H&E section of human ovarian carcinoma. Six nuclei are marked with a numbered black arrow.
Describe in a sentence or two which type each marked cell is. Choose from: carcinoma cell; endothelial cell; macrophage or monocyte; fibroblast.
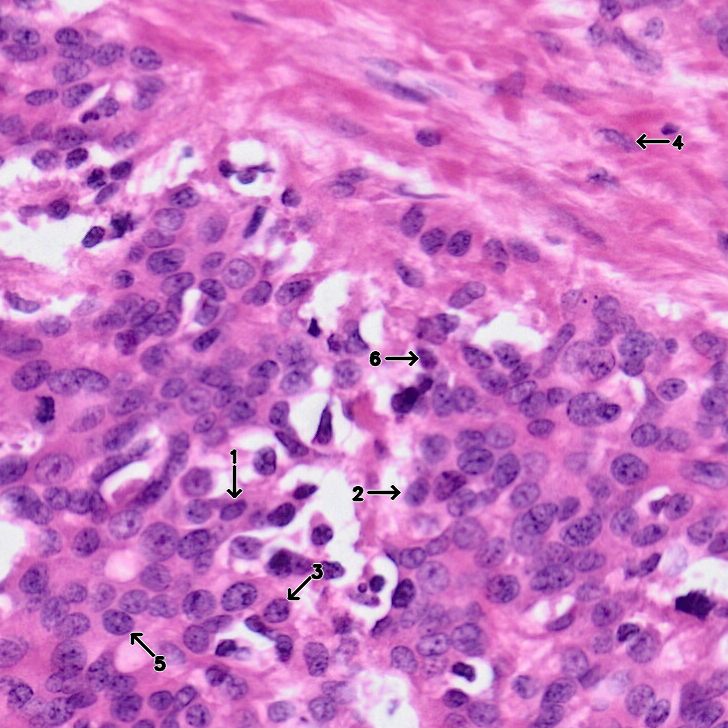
Cells 1, 2, 5 and 6 are carcinoma cells. Cell 3 is a macrophage or monocyte. Cell 4 is a fibroblast.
